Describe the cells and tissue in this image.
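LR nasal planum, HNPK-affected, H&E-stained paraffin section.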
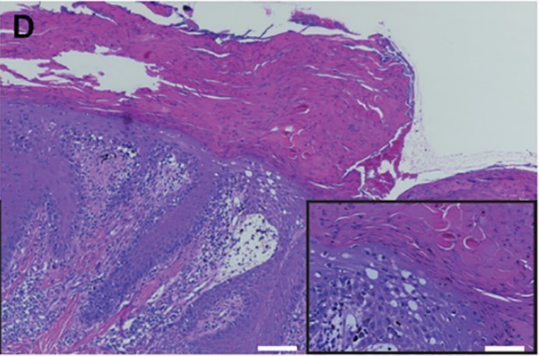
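The cornified layer forms a large pink mass of loosely stacked sheets with clefts and open spaces, and the epidermis beneath it is uneven, with its upper cells poorly ordered. Within the epidermis there are clear rounded spaces and clusters of darker, densely nucleated cells, and the inset shows keratinocytes with clear vacuoles beneath the disordered cornified layer.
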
